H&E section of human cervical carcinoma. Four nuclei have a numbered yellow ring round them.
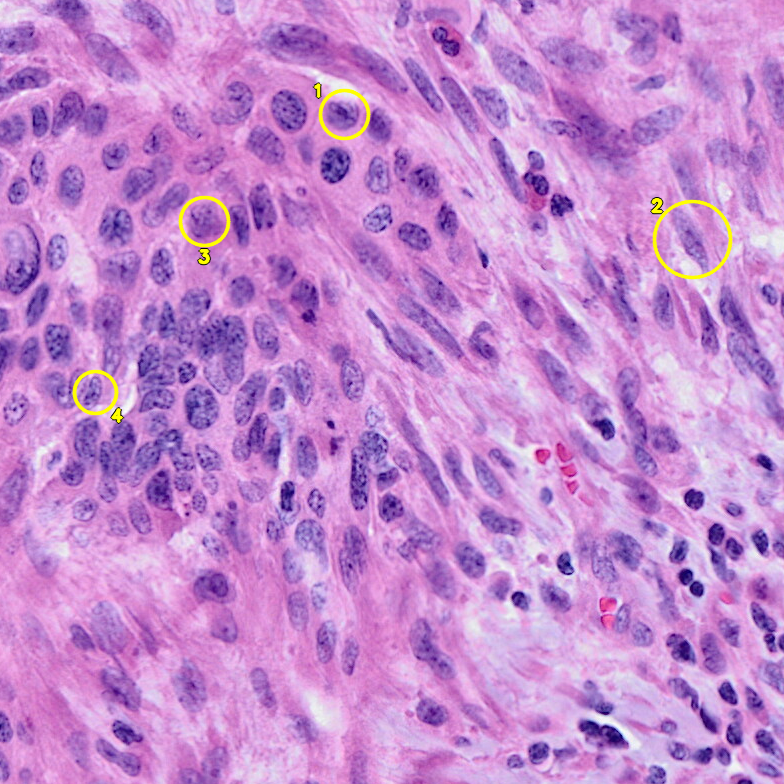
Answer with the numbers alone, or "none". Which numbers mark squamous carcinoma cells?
1, 3, 4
